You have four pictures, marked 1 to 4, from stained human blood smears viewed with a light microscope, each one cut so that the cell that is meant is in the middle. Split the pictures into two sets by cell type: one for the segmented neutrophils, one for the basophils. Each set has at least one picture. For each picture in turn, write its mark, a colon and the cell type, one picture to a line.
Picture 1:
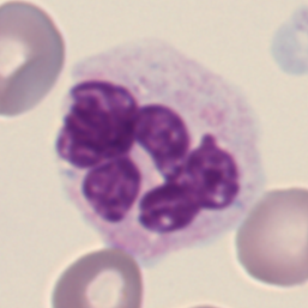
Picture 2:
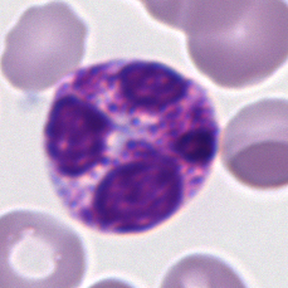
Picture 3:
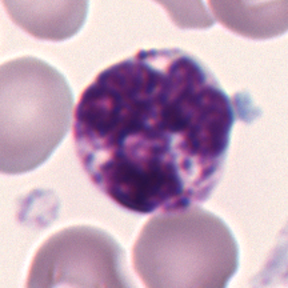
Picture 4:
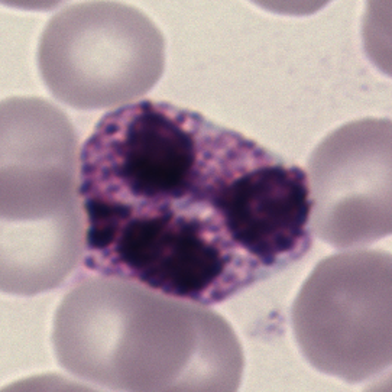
1: segmented neutrophil
2: basophil
3: basophil
4: basophil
